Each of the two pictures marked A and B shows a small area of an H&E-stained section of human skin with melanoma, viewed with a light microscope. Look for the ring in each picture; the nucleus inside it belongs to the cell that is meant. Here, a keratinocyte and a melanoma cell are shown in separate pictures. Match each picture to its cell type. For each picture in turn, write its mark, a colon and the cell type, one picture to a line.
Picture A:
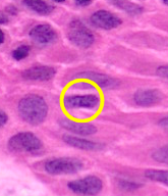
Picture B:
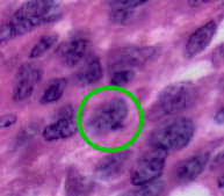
A: keratinocyte
B: melanoma cell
